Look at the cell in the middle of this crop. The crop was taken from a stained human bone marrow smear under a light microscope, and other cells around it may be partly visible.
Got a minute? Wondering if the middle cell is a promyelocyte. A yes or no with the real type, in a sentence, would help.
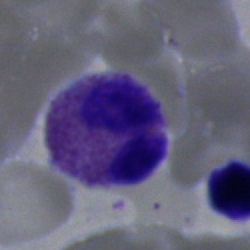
No, rather than being a promyelocyte, the central cell is an eosinophil.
